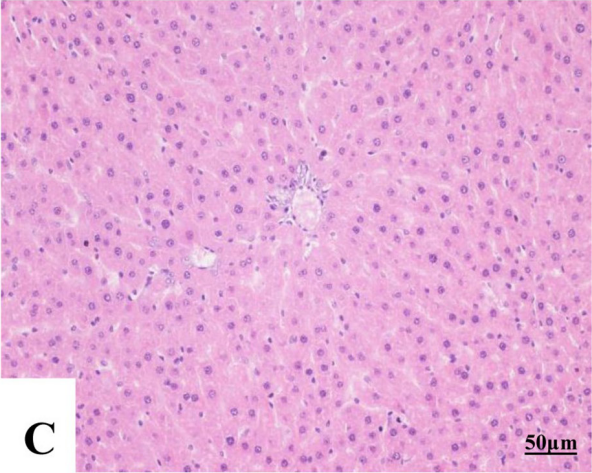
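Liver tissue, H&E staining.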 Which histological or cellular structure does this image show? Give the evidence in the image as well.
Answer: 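Polygonal cells with round nuclei form rows radiating from a central vessel. Narrow pale spaces separate the rows of cells. On this evidence: cords.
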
